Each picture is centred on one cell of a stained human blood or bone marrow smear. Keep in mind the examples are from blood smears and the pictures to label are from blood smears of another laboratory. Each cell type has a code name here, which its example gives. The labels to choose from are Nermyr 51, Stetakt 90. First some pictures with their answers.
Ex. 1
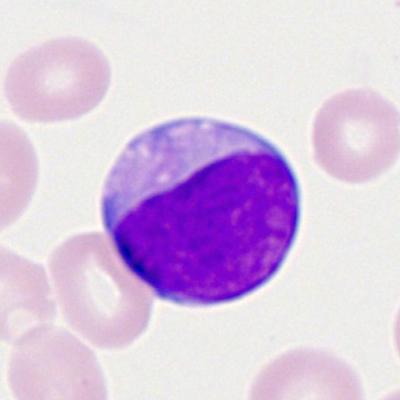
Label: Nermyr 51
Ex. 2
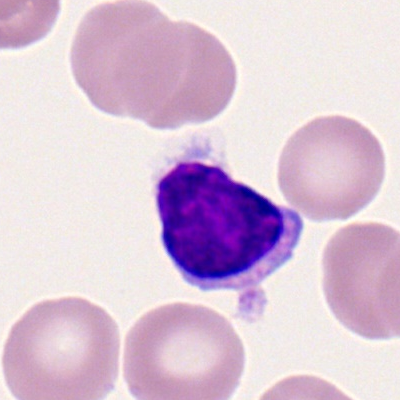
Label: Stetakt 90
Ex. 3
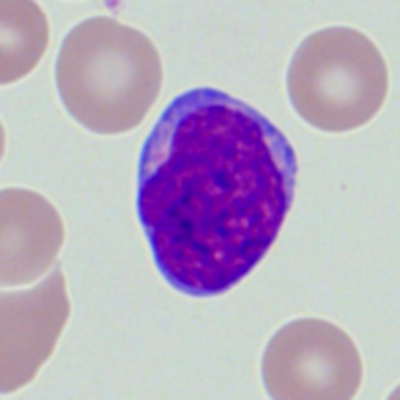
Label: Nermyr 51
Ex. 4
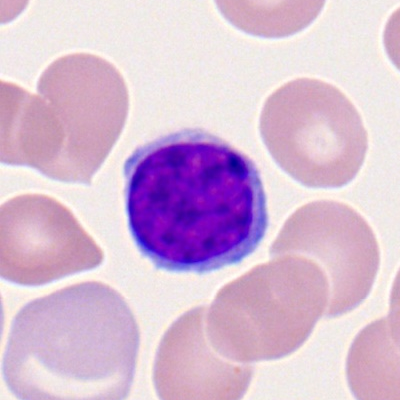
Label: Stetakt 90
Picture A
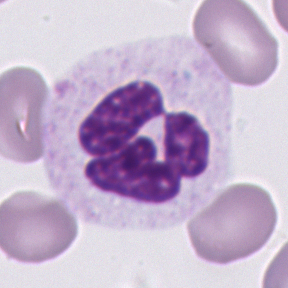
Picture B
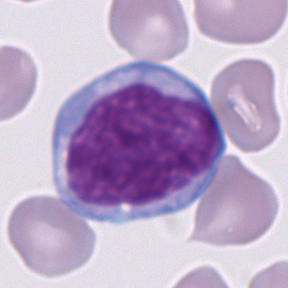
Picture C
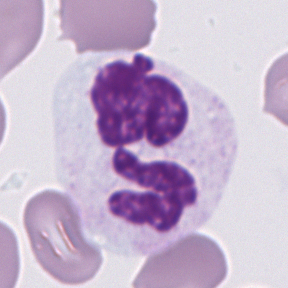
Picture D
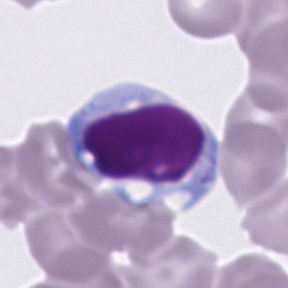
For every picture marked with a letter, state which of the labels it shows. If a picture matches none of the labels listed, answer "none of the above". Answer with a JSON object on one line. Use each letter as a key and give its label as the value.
{"A": "none of the above", "B": "Nermyr 51", "C": "none of the above", "D": "Stetakt 90"}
